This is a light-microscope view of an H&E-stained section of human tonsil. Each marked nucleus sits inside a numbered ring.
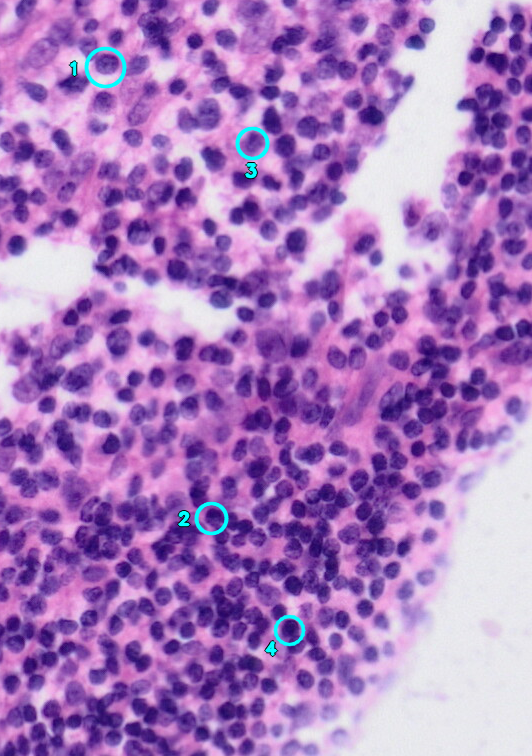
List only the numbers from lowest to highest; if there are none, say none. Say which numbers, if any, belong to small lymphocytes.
2, 4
